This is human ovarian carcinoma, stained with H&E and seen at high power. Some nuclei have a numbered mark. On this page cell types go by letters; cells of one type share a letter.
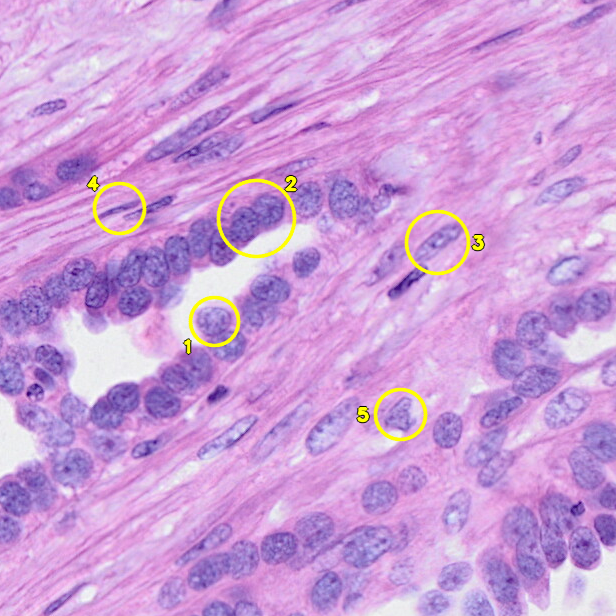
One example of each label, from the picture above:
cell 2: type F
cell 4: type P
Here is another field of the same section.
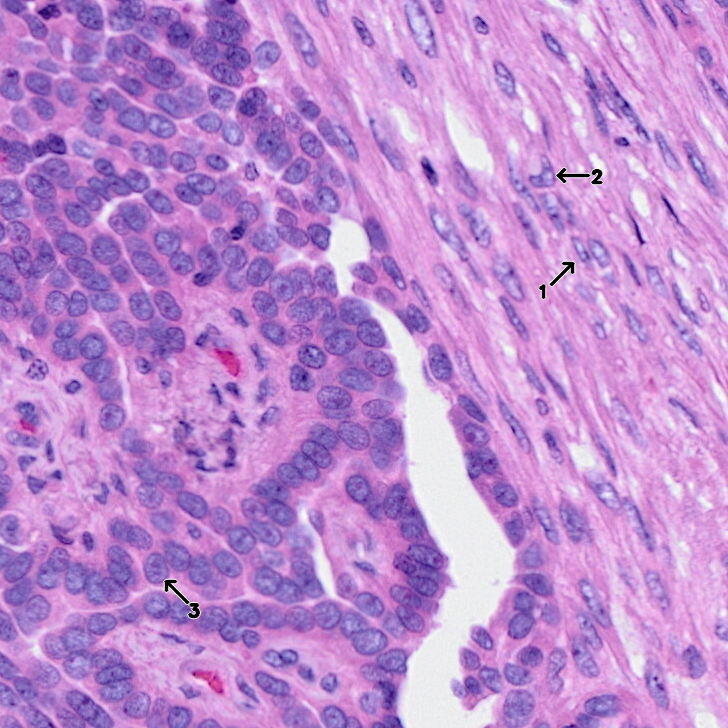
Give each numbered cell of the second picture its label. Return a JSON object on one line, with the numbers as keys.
{"1": "type P", "2": "type P", "3": "type F"}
